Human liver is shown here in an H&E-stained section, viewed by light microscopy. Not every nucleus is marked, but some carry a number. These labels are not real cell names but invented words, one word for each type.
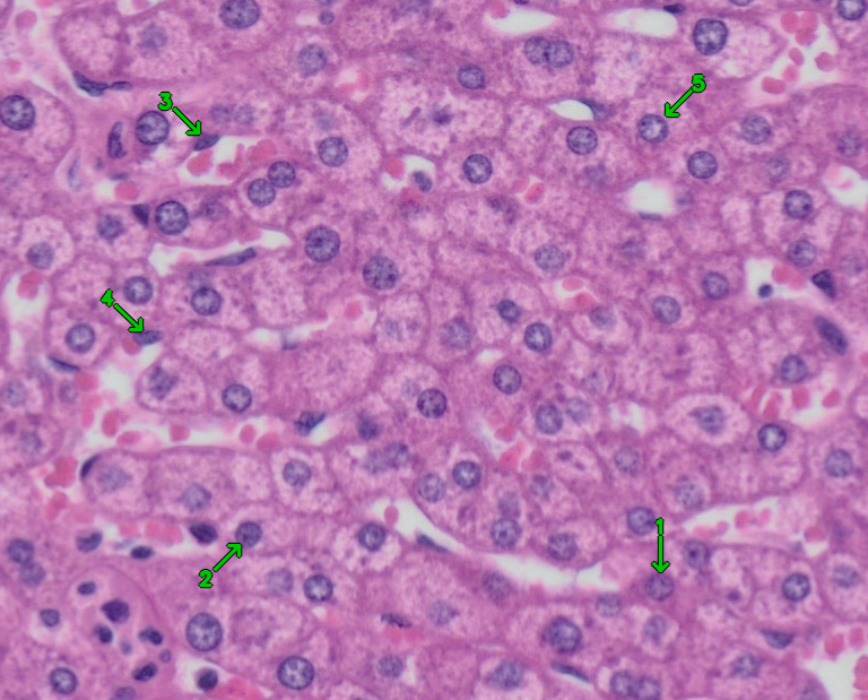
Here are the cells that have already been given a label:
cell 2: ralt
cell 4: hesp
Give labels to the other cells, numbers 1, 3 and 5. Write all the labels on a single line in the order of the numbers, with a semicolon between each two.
ralt; hesp; ralt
